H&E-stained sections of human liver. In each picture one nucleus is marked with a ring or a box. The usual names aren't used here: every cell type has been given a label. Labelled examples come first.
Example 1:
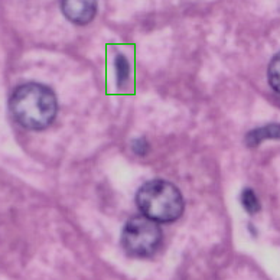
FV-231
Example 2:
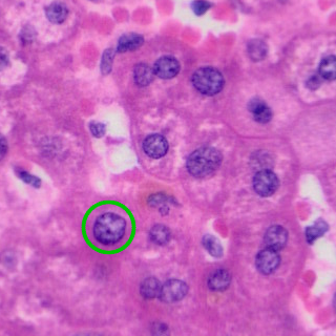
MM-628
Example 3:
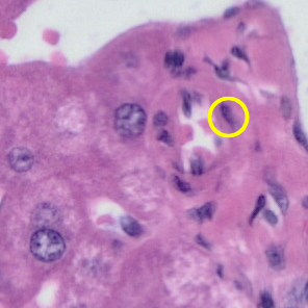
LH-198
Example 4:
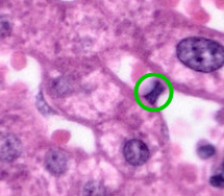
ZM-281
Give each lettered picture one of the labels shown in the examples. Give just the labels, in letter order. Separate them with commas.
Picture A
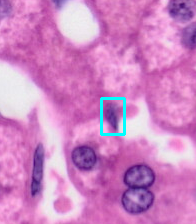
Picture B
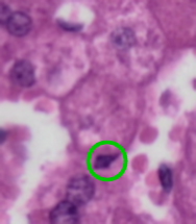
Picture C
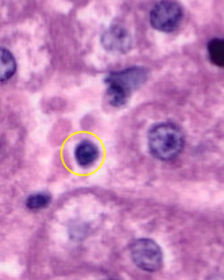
ZM-281, LH-198, FV-231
